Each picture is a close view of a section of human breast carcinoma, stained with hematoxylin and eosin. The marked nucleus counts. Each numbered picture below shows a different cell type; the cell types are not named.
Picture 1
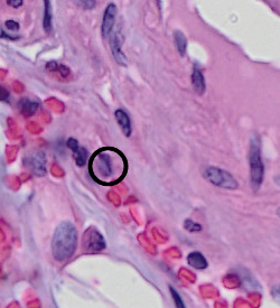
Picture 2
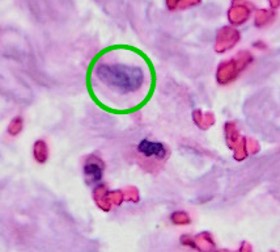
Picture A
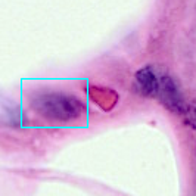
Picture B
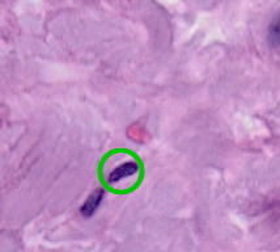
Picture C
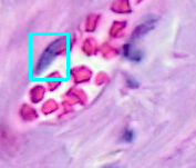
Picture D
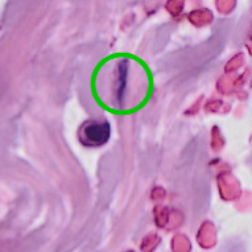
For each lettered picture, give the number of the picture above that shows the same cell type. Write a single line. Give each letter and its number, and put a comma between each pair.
A 1, B 2, C 1, D 2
